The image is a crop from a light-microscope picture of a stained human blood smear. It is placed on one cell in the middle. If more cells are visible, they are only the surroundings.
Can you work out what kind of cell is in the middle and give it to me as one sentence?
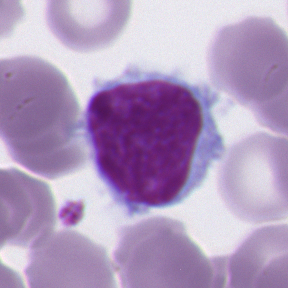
Here the centrally located cell is a typical lymphocyte.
